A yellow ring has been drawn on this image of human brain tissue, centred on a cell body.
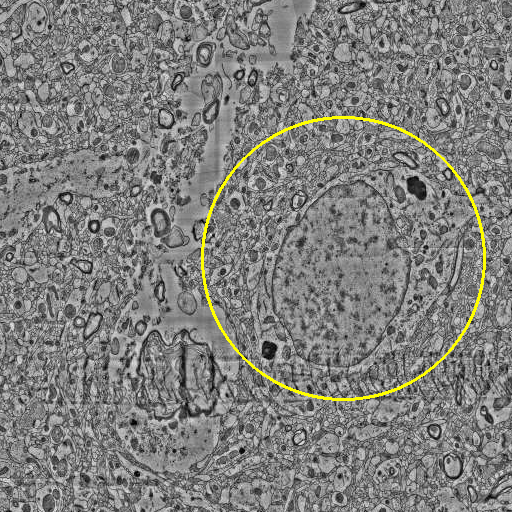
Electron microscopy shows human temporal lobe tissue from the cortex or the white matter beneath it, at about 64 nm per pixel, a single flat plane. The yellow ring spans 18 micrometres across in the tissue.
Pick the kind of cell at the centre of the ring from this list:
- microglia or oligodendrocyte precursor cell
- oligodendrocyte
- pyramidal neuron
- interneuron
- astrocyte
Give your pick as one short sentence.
The centre of the ring holds an interneuron.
